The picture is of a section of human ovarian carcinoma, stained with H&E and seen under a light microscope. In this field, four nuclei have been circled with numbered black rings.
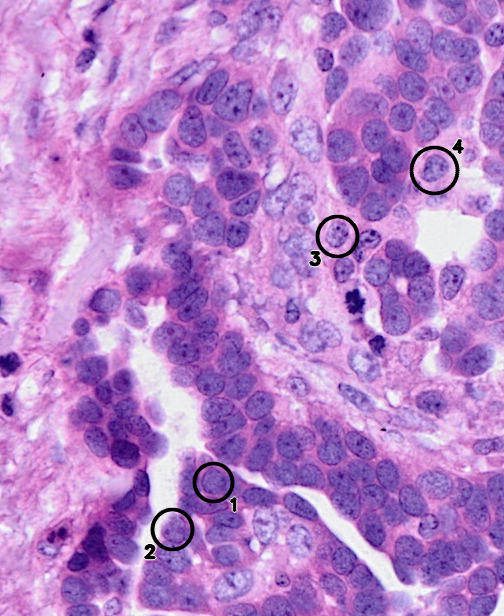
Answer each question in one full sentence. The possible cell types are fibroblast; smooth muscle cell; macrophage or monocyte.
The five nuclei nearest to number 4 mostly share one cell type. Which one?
Most of the five nuclei nearest to number 4 are those of macrophages or monocytes.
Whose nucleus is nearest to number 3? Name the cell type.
The nucleus nearest to number 3 is that of a macrophage or monocyte.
